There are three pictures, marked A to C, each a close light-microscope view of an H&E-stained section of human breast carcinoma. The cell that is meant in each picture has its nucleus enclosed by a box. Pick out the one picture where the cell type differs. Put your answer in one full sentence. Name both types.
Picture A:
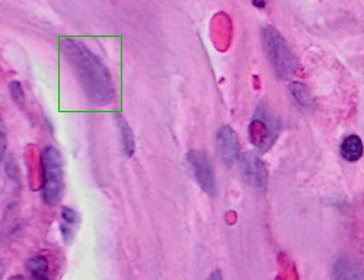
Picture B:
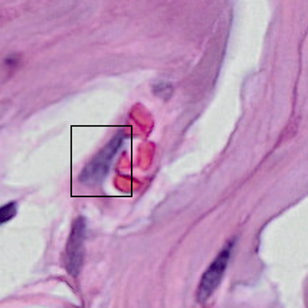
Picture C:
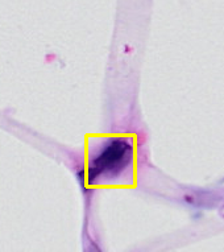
The others show endothelial cells, but picture A shows a fibroblast.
